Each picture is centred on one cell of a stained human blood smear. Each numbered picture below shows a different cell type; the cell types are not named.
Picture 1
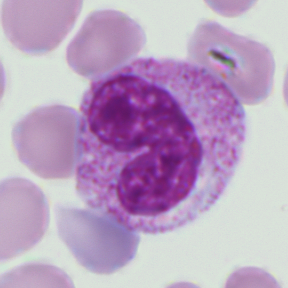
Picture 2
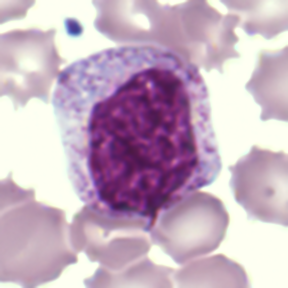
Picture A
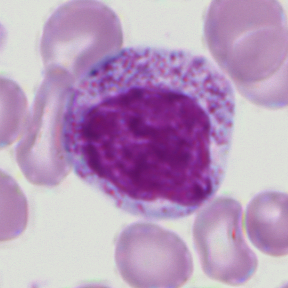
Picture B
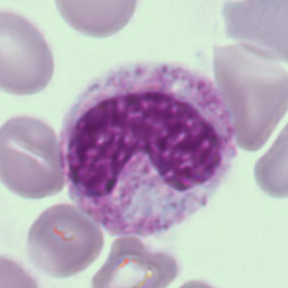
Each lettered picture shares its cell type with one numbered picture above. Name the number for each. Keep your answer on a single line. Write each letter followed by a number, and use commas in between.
A 2, B 1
